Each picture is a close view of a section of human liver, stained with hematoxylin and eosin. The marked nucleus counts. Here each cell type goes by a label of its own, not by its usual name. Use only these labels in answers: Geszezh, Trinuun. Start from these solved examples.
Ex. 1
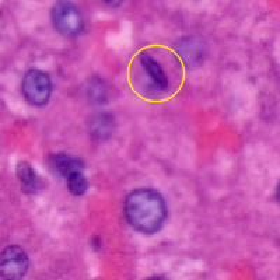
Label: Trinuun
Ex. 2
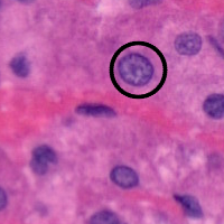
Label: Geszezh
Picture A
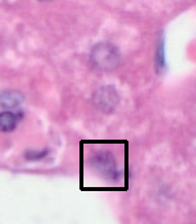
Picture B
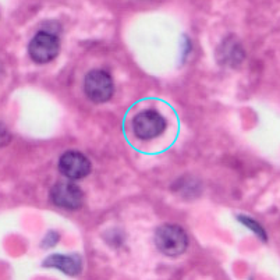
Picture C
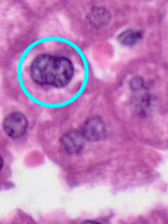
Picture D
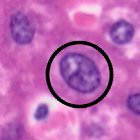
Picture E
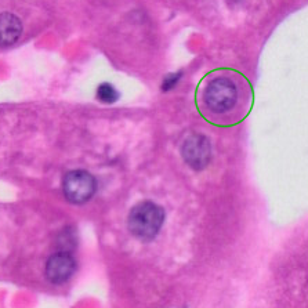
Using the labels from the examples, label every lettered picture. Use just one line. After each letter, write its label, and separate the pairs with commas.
A Trinuun, B Geszezh, C Geszezh, D Geszezh, E Geszezh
